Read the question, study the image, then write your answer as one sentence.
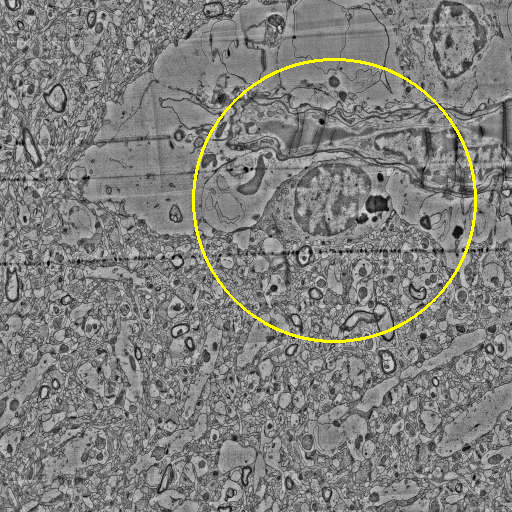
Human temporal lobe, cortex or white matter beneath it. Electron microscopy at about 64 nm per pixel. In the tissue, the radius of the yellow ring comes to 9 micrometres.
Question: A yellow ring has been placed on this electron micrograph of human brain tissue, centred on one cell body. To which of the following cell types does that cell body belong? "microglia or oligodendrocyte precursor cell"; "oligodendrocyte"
That cell body belongs to an oligodendrocyte.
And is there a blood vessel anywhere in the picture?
Yes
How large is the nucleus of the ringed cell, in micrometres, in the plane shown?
Roughly 5 micrometres by 4 micrometres, in this plane.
